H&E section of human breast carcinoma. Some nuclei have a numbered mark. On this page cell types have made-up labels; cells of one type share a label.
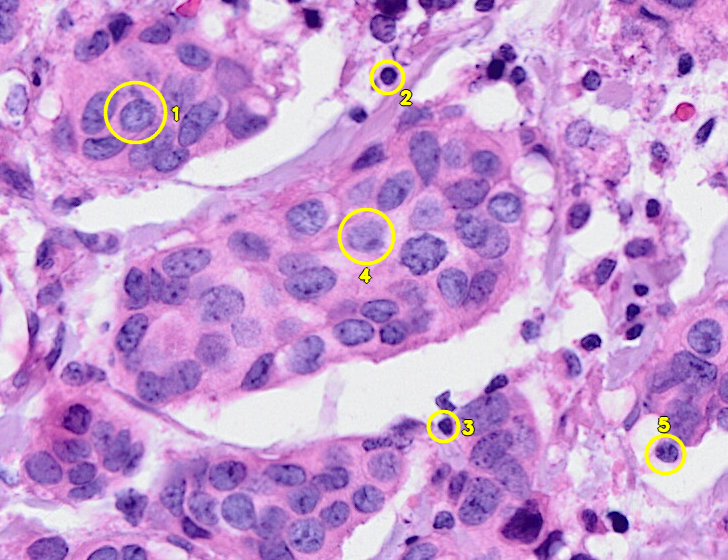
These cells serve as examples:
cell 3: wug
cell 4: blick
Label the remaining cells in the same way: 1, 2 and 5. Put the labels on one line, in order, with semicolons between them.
blick; wug; wug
